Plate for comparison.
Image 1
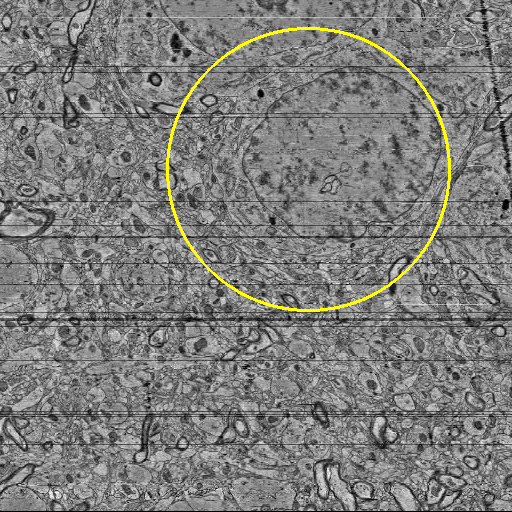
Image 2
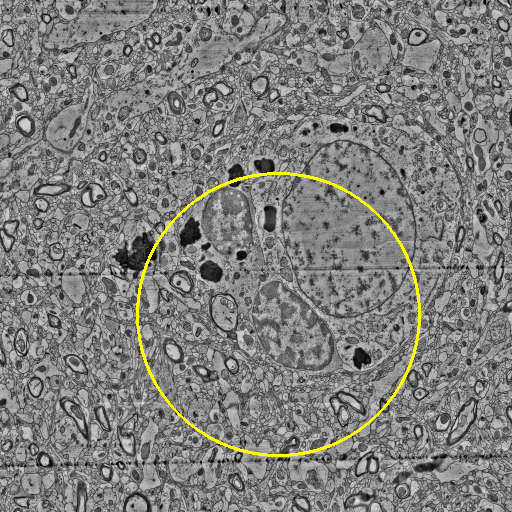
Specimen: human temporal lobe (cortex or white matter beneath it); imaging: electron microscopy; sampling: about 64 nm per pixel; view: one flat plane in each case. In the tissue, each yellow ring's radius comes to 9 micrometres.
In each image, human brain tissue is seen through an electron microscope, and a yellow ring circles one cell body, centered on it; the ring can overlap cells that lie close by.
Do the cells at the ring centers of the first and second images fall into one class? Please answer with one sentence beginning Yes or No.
No, the first and second images show two classes of cell at the ring centers.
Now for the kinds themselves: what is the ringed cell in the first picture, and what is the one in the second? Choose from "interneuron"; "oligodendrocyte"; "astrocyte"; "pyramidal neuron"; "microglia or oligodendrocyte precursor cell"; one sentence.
Here the first cell is a pyramidal neuron and the second cell is an oligodendrocyte.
